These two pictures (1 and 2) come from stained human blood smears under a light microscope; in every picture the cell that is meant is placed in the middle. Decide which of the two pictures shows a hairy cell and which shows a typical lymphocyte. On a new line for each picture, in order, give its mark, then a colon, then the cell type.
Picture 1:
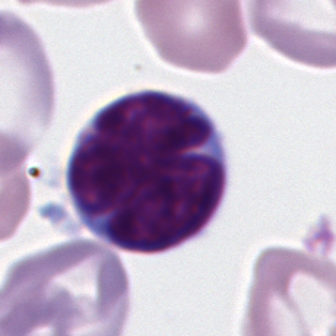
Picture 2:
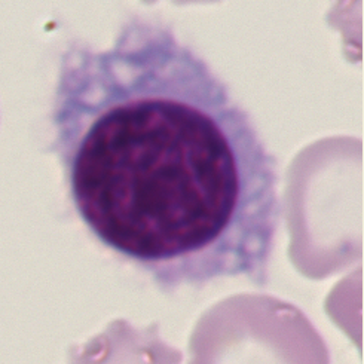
1: typical lymphocyte
2: hairy cell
